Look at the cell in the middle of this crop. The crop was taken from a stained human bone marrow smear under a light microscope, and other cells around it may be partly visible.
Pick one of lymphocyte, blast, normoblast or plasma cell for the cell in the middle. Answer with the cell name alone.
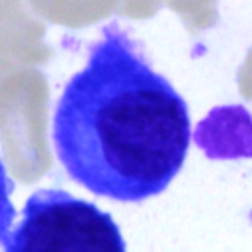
plasma cell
